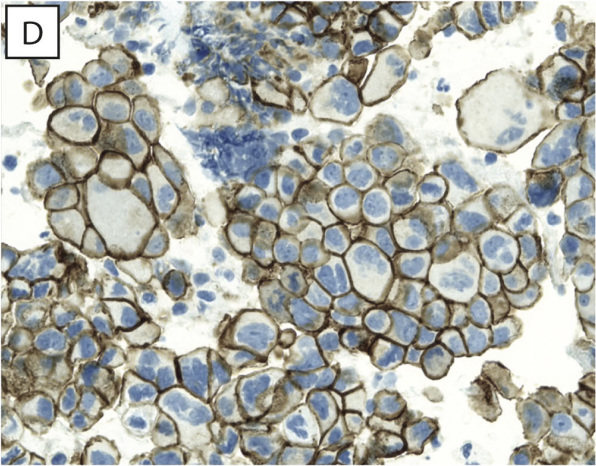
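Groups of neoplastic epithelial cells are seen with crisp brown staining along every cell border, giving a honeycomb outline. The nuclei are pale blue and unstained, and the cytoplasm is pale.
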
